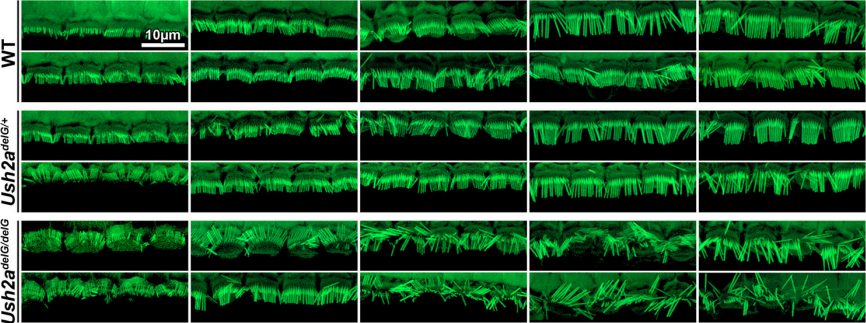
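In most strips the bundles stand in neat, nearly linear rows, rods parallel and graded in length, with the cell bodies as faint green bases beneath. In some strips, especially toward the right-hand columns, the rods are splayed, crossed and tilted in many directions, with gaps and irregular lengths, so that the boundaries between neighbouring bundles are lost. The left-most column shows shorter, denser bundles than those further right.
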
